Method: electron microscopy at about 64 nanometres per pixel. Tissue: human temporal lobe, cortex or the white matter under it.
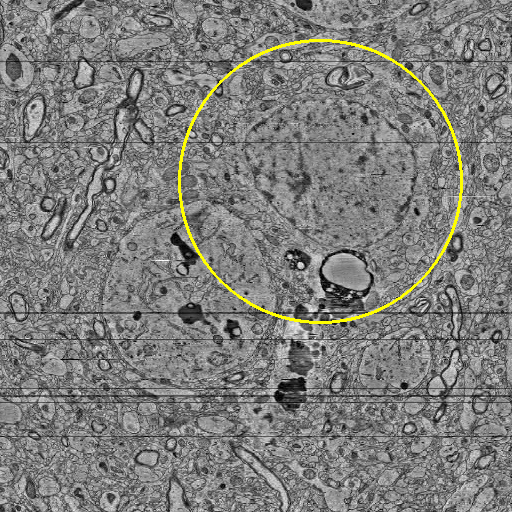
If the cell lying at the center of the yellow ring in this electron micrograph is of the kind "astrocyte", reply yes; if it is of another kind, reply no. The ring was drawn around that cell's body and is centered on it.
yes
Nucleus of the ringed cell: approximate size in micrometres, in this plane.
Roughly 11 micrometres by 9 micrometres, in this plane.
